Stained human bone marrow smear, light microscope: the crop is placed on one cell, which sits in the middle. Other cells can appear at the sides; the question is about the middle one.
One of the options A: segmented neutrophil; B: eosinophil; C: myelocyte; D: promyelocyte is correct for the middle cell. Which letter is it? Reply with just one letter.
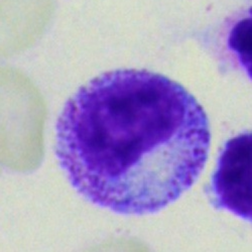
C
